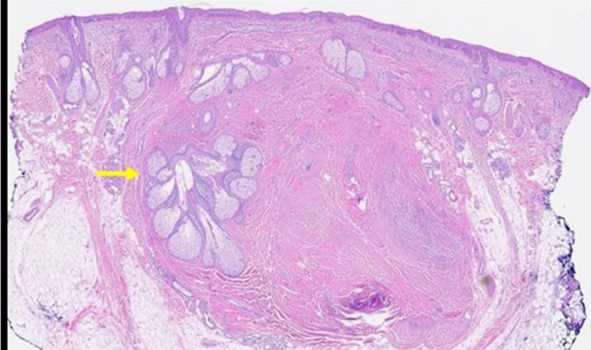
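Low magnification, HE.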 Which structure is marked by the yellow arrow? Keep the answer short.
Sebaceous gland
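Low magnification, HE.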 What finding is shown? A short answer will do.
Roundish hypocellular proliferation in dermis and hypodermis.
